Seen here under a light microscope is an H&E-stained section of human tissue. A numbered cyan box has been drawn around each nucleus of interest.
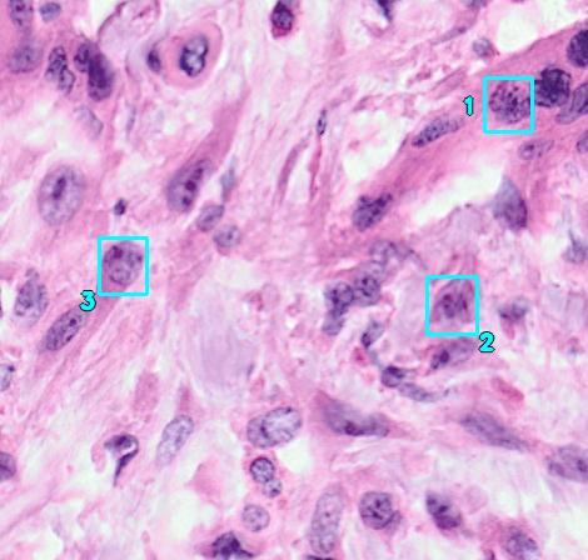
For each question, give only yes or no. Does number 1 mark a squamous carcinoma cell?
yes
